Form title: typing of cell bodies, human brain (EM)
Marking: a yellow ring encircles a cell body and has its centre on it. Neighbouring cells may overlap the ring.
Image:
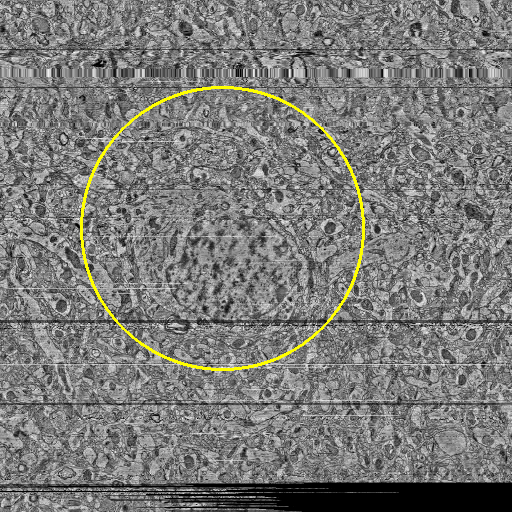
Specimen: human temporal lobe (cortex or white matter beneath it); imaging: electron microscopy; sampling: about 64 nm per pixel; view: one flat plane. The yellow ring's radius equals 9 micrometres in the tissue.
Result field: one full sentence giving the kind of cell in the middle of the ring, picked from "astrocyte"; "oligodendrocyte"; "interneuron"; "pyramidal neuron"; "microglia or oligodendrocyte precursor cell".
In the picture, the ring is centred on an interneuron, whose cell body it encircles.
